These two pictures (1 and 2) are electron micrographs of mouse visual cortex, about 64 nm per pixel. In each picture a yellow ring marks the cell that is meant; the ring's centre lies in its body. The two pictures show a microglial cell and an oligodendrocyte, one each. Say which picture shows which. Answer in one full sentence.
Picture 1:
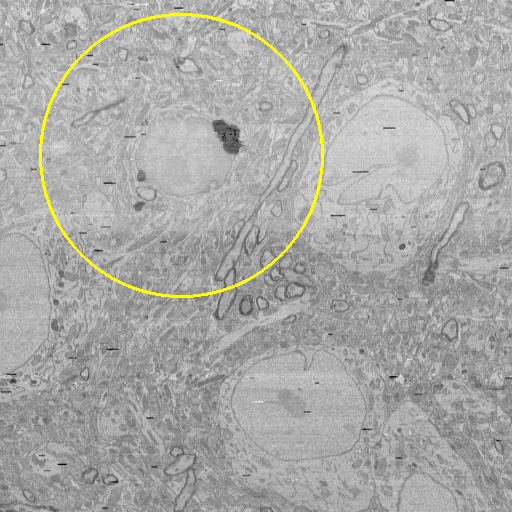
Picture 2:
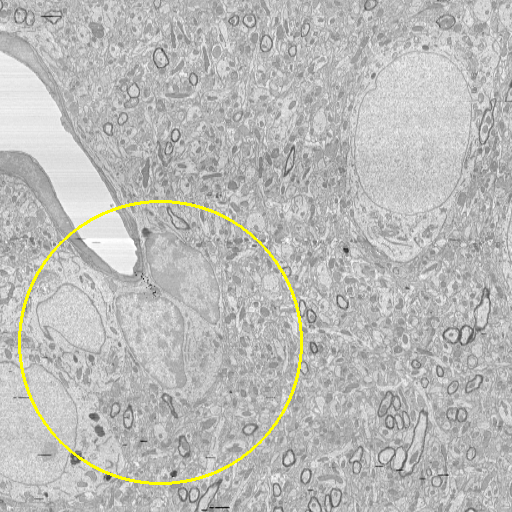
In picture 1 the cell is a microglial cell; in picture 2, an oligodendrocyte.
